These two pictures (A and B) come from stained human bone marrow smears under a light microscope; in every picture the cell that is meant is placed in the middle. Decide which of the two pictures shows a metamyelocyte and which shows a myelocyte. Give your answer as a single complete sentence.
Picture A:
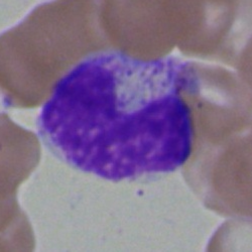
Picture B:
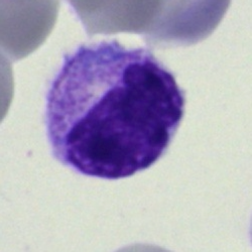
It is picture A that shows a metamyelocyte, and picture B that shows a myelocyte.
